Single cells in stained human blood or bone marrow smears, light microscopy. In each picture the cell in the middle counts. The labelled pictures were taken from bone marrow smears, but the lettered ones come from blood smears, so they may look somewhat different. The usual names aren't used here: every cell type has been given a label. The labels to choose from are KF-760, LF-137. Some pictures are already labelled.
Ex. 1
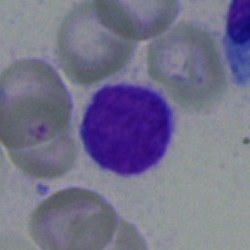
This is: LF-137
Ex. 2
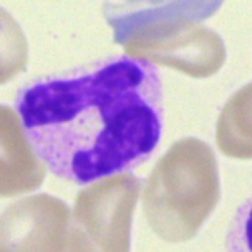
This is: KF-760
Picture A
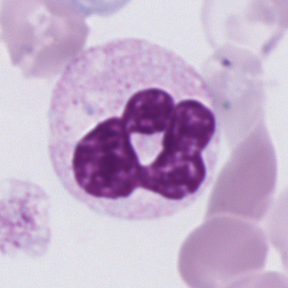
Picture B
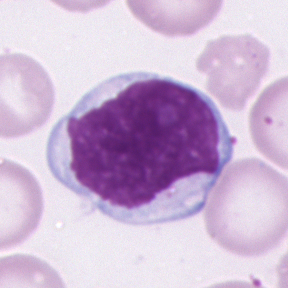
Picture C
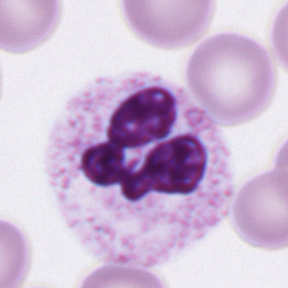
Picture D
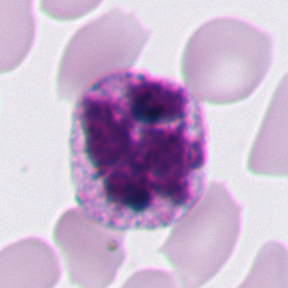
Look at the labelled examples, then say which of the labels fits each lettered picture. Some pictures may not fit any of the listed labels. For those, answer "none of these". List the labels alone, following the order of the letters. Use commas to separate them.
KF-760, LF-137, KF-760, none of these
